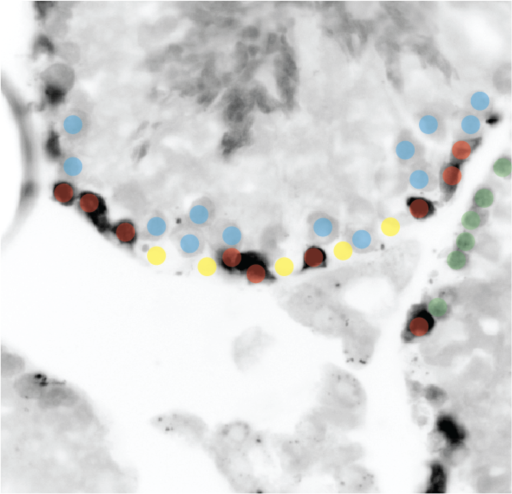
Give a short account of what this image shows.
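Strongly dark cells form a row along the curved outer edge of the tubule. Yellow dots sit on pale cells in that same edge row, and red dots sit on the dark ones. Blue dots mark large round cells lying one layer further inward. Green dots follow the edge of a neighbouring tubule on the right, over paler grey cells.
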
